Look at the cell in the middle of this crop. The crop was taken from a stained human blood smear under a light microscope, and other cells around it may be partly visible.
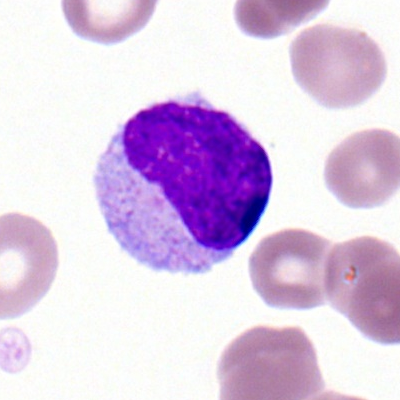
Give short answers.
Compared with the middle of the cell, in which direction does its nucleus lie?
upper right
